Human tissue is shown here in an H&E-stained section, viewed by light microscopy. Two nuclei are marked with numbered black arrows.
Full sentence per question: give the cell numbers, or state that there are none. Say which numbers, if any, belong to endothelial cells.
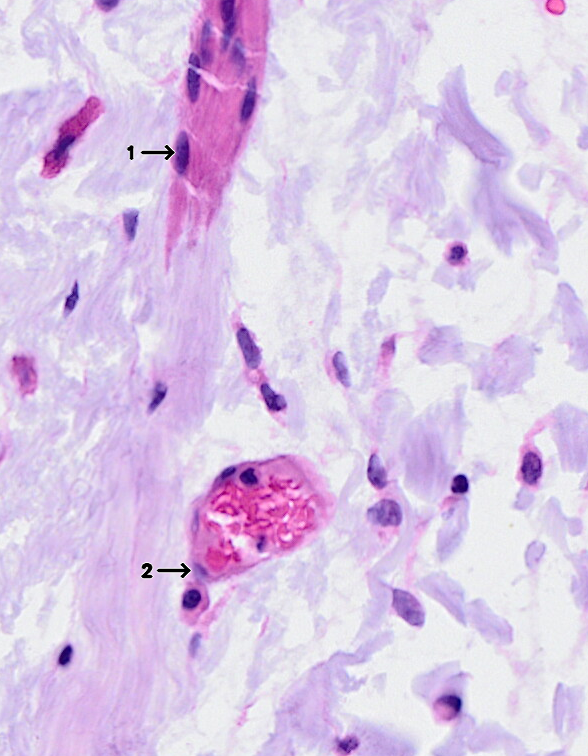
Where the numbered cells are concerned, only number 2 is an endothelial cell.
